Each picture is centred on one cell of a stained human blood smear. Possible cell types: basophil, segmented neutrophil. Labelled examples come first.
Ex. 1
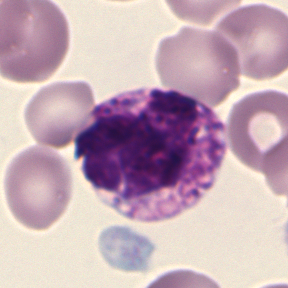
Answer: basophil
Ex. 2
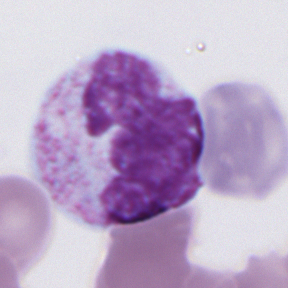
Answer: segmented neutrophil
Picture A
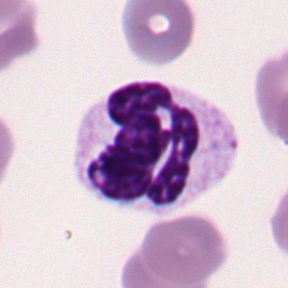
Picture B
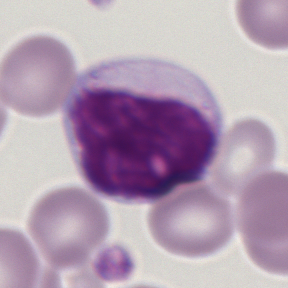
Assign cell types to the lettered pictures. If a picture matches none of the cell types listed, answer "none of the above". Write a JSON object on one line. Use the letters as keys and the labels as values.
{"A": "segmented neutrophil", "B": "none of the above"}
